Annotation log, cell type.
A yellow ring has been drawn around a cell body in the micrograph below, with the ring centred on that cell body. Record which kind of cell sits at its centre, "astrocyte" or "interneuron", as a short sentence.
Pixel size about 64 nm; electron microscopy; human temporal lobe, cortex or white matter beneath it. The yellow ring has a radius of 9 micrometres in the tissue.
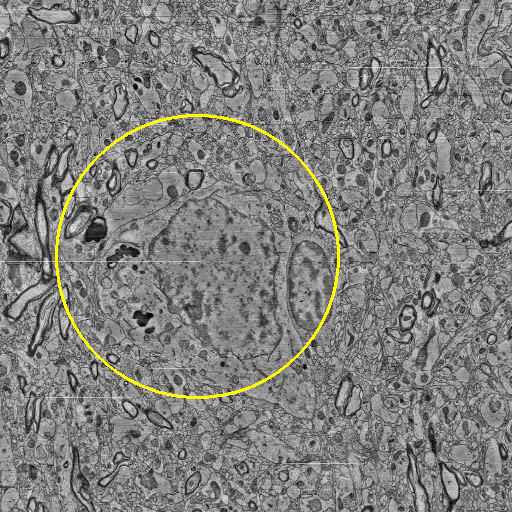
The cell at the centre of this ring is an interneuron.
